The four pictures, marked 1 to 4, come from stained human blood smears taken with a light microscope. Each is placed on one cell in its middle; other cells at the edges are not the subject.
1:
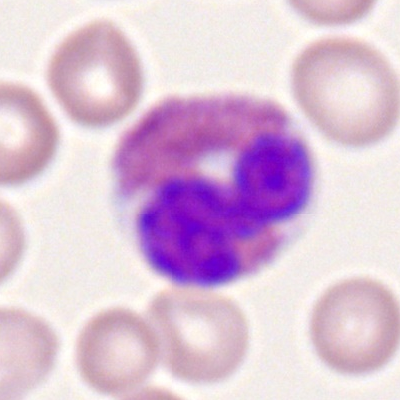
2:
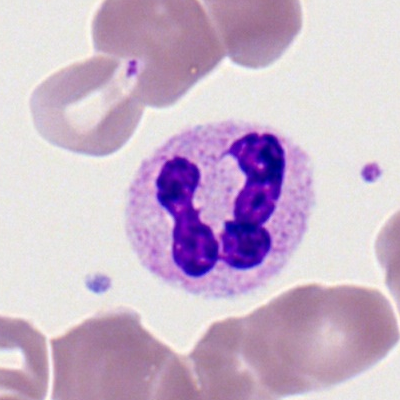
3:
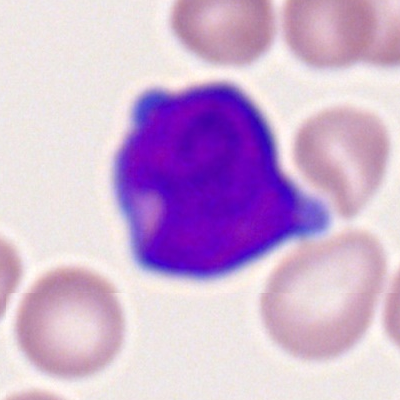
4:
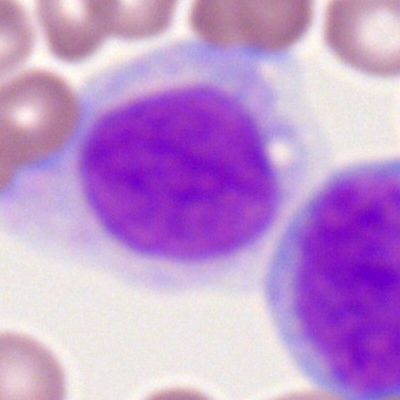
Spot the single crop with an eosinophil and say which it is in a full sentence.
The crop carrying an eosinophil at the center is crop 1.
